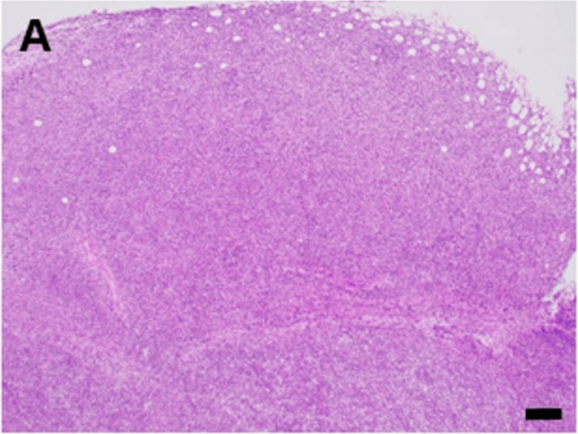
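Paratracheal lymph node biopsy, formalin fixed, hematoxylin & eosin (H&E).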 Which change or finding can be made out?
Diffuse architectural effacement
